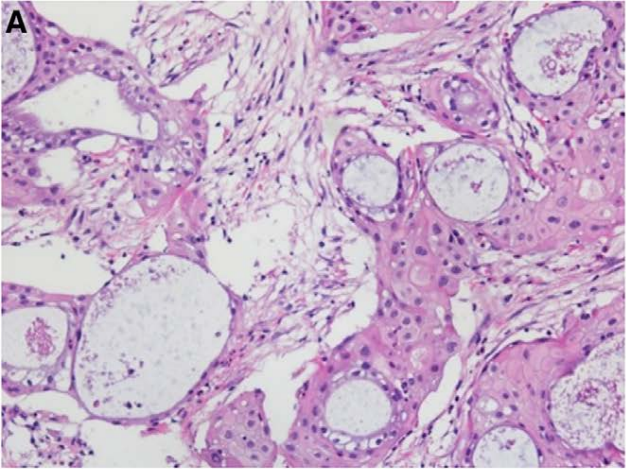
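This is a mucoepidermoid carcinoma made of solid nests of tumor cells set in a loose, pale fibrous stroma with scattered spindle-shaped stromal cells. The nests are built of polygonal epidermoid cells with abundant pink cytoplasm, distinct borders and round to oval nuclei with visible nucleoli. Within the nests lie round cystic spaces of varied size filled with pale, faintly bluish mucoid material. These spaces are lined by clear cells with pale, vacuolated cytoplasm, which are surrounded in turn by the pink epidermoid cells, so each cyst sits inside a solid cell island.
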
